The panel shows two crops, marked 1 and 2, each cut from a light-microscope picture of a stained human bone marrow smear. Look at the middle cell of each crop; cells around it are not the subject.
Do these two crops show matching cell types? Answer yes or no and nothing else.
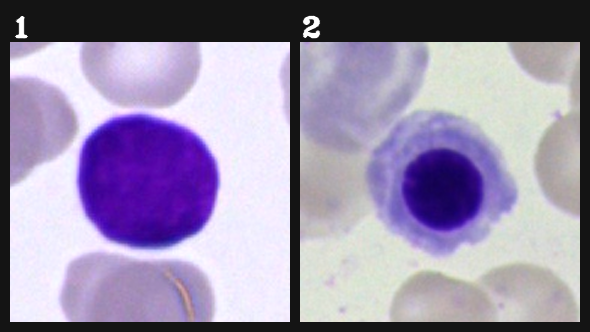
no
